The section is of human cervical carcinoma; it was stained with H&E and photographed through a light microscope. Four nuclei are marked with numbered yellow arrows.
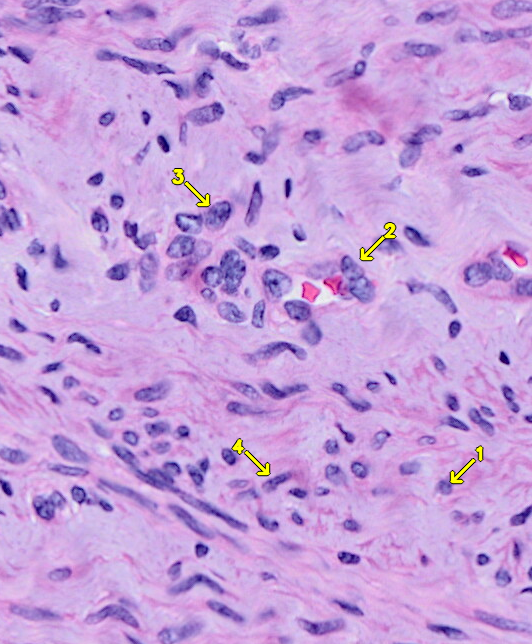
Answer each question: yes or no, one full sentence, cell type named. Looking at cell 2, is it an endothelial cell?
Yes, the cell that bears the number 2 is an endothelial cell.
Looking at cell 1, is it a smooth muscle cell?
Yes, cell 1 is a smooth muscle cell in this tissue section.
